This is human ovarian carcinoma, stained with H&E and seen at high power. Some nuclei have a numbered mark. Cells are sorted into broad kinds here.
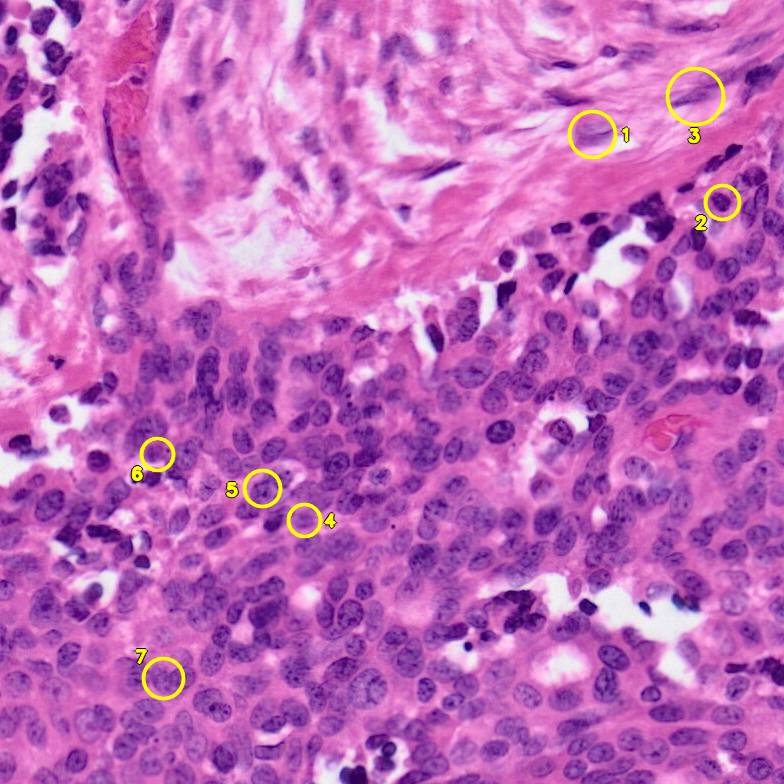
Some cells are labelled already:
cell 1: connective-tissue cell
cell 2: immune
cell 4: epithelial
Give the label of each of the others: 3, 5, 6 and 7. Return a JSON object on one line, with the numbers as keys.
{"3": "connective-tissue cell", "5": "immune", "6": "epithelial", "7": "epithelial"}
